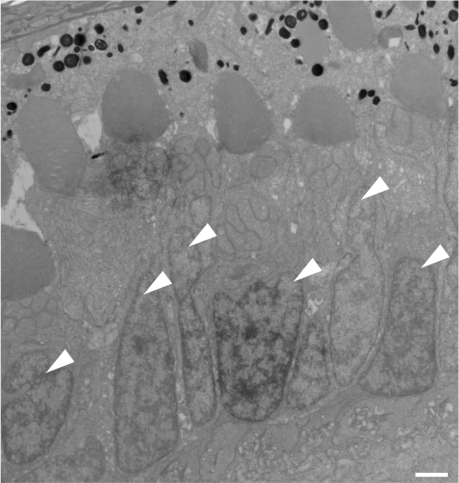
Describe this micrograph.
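This section shows a row of photoreceptor cells, with their elongated nuclei aligned side by side in the lower half of the field. The nuclei are oval to columnar, with chromatin in irregular dark patches against a paler nucleoplasm. Above the nuclei lie regions packed with mitochondria and rounded homogeneous grey bodies. At the top are dark, electron-dense pigment granules of the adjacent pigment layer.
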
